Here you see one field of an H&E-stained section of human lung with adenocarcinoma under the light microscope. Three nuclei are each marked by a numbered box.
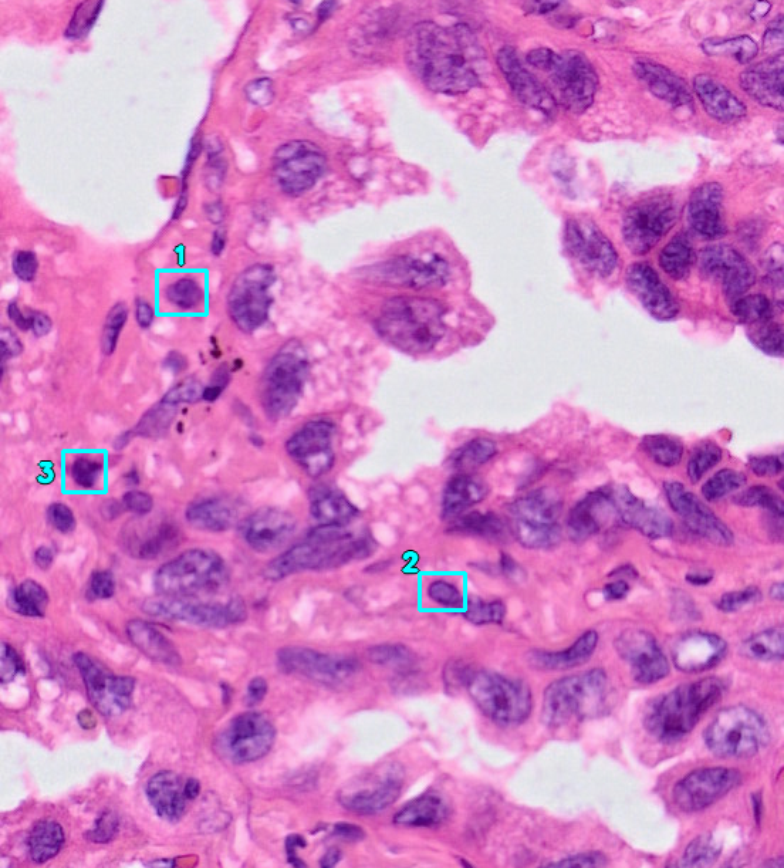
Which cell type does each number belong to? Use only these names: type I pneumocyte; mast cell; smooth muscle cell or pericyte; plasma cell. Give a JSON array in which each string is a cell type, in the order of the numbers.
["plasma cell", "mast cell", "plasma cell"]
